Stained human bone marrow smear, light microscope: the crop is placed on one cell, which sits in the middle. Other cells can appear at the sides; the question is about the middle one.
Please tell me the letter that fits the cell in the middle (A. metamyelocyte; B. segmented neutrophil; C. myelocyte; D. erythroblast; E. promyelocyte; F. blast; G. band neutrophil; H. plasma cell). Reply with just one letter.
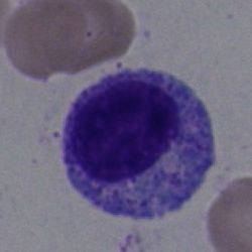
C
